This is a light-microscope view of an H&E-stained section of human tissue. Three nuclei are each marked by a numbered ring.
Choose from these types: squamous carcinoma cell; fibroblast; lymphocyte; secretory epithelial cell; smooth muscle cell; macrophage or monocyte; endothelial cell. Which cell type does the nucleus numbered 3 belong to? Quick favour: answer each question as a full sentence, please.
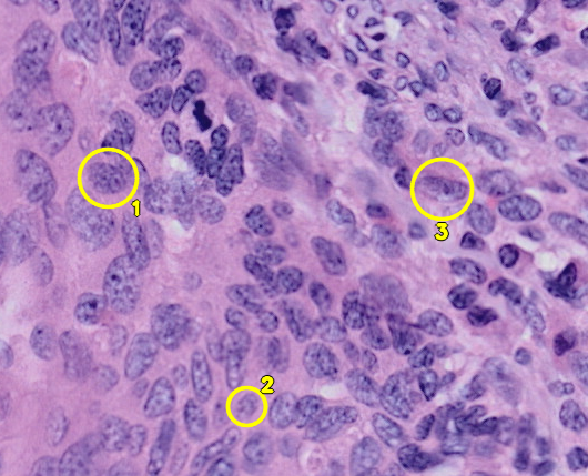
The nucleus labeled 3 belongs to an endothelial cell.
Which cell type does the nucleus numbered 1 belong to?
The cell assigned the number 1 is a squamous carcinoma cell.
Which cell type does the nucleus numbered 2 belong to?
Number 2 is placed on a squamous carcinoma cell here.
